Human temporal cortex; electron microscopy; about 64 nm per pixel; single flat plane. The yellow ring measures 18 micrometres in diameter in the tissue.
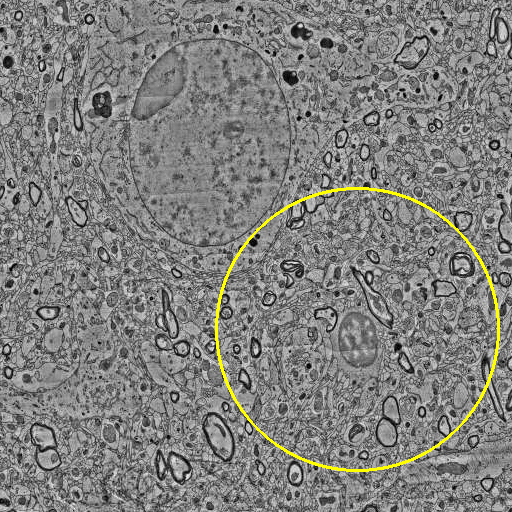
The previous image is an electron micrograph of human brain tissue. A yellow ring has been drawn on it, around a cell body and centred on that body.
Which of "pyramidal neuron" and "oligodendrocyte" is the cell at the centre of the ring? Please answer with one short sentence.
The cell body at the centre of the ring belongs to an oligodendrocyte.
